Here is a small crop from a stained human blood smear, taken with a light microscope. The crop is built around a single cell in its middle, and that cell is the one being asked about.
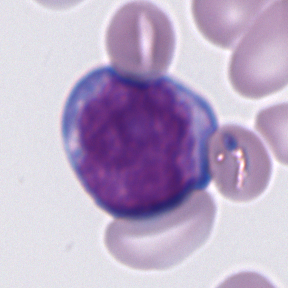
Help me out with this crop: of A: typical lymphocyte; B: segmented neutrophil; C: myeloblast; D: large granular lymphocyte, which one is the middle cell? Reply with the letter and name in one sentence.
In this crop the central cell is a myeloblast, which option C correctly states.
